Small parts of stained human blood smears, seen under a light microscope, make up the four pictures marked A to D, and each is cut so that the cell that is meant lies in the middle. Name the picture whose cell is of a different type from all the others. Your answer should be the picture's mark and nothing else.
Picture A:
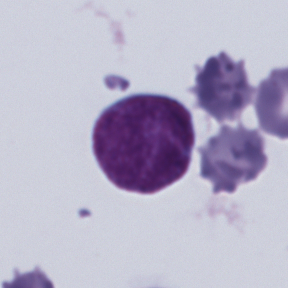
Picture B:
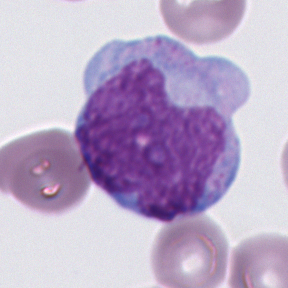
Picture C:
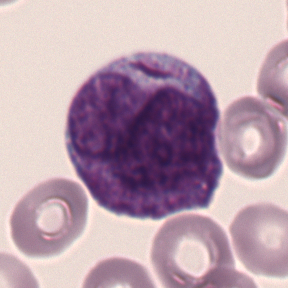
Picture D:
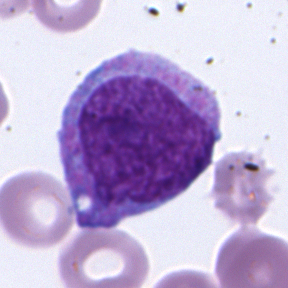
A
